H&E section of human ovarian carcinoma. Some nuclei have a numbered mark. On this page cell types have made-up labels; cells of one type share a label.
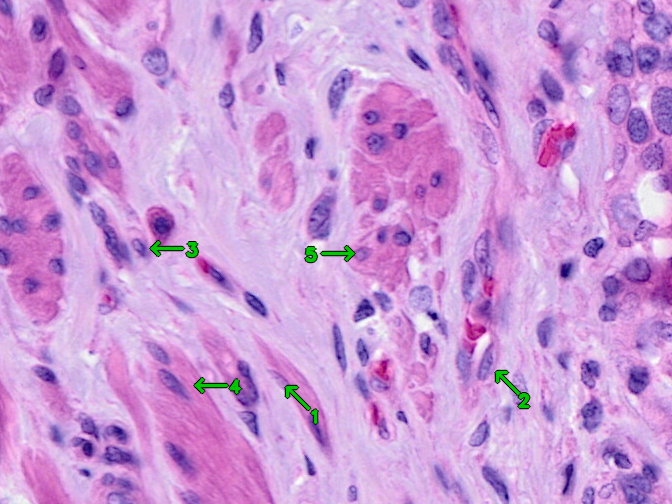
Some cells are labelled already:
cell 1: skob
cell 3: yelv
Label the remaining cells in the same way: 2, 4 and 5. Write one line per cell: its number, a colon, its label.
2: yelv
4: skob
5: skob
